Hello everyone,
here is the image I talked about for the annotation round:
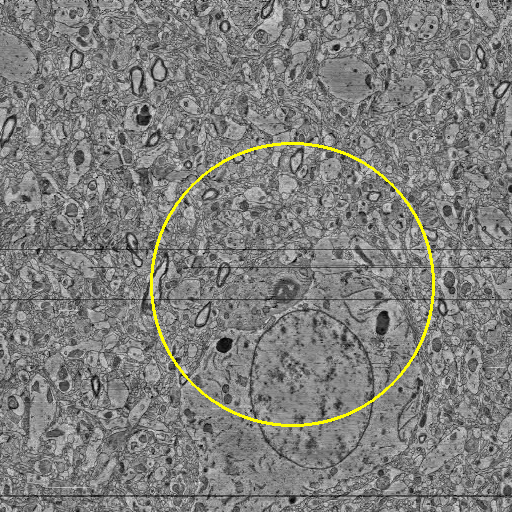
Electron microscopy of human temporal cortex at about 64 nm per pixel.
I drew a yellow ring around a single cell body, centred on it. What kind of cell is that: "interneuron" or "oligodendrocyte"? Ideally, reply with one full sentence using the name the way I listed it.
The cell your yellow ring is centred on is an oligodendrocyte, going by your list.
